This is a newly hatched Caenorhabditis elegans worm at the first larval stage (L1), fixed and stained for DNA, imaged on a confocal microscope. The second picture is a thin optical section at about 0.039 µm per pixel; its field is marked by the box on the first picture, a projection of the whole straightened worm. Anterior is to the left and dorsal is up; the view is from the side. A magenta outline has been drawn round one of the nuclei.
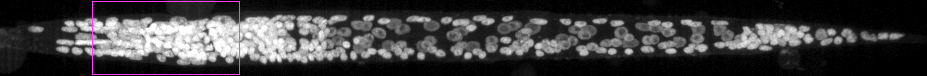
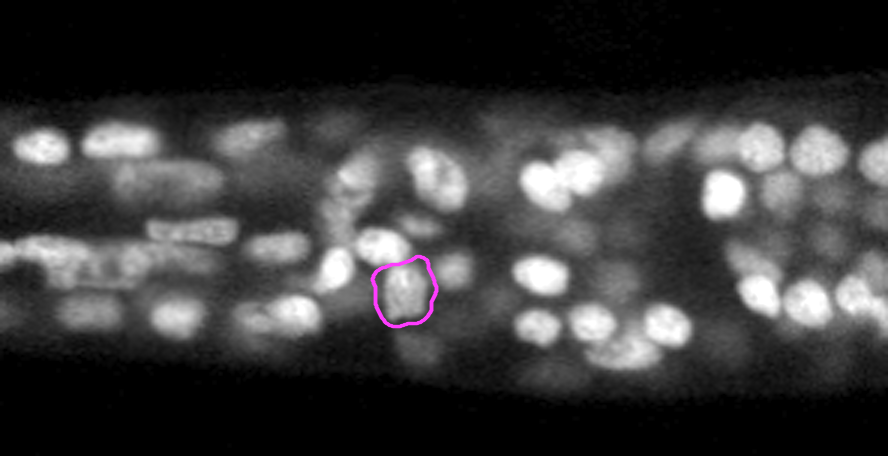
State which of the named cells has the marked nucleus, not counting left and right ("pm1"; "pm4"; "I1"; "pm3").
pm4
